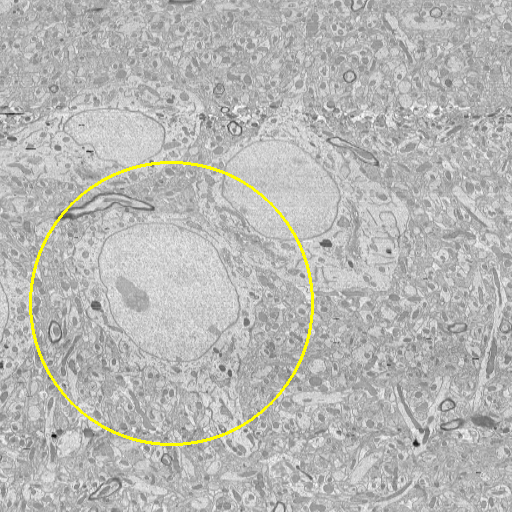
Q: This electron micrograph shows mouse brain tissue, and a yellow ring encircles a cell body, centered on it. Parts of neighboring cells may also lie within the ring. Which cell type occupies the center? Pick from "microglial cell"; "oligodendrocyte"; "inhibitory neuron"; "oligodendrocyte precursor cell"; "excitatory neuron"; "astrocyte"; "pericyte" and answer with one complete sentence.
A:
What sits at the ring's center in this micrograph is an excitatory neuron, among those choices.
